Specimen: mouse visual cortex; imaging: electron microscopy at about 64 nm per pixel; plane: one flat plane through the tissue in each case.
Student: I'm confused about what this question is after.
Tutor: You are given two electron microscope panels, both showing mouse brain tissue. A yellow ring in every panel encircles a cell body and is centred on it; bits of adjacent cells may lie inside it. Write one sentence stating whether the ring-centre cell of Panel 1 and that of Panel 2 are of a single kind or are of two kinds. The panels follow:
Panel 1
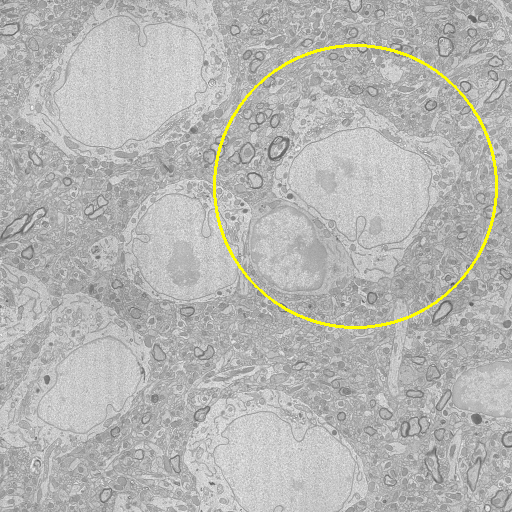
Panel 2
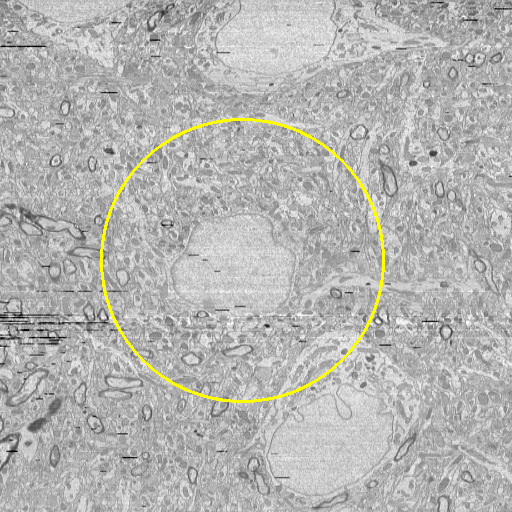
Here, the Panel 1 ring-centre cell and the Panel 2 ring-centre cell are of two kinds.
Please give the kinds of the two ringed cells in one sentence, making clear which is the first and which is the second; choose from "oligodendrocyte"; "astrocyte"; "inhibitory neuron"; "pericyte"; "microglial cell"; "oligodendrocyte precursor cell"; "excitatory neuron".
In the second picture the ringed cell is an astrocyte; in the first it is an excitatory neuron.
